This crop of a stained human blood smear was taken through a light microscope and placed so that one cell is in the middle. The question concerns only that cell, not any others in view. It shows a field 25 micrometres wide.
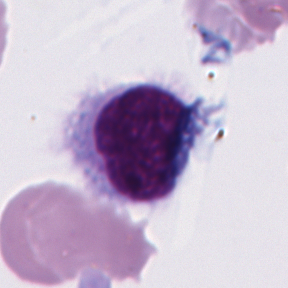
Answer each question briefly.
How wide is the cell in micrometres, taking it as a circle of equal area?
11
